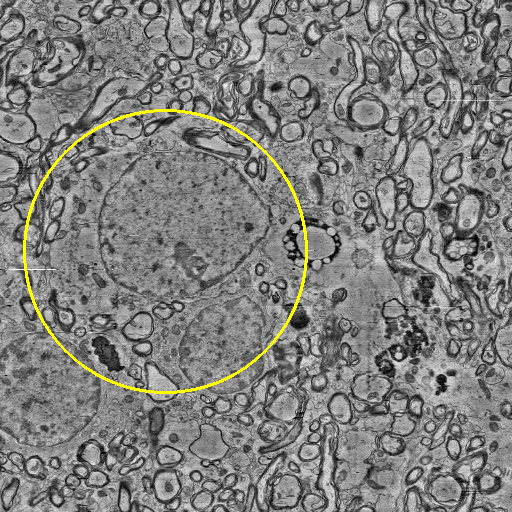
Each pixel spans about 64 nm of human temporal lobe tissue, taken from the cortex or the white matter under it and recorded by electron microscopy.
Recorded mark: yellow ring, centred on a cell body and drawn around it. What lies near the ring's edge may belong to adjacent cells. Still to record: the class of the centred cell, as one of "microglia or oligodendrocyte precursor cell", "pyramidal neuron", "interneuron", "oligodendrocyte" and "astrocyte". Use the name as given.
astrocyte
